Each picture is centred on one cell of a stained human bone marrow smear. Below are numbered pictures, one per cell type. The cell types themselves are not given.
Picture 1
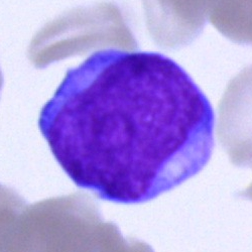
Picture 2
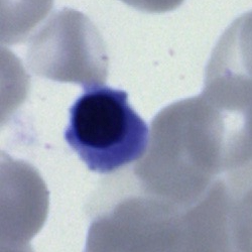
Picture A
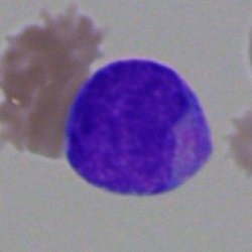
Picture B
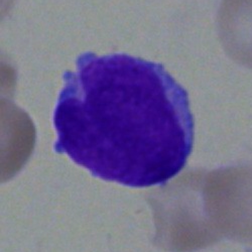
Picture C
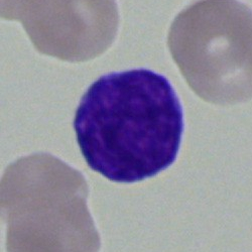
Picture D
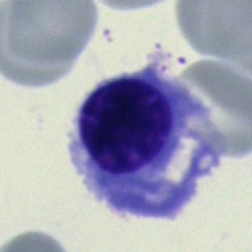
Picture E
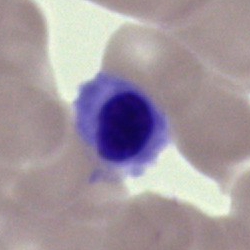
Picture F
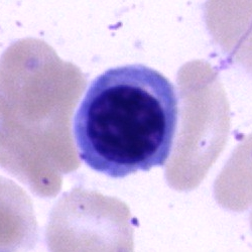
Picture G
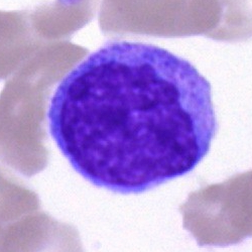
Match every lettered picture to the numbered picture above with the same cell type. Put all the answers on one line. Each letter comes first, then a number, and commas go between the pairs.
A 1, B 1, C 1, D 2, E 2, F 2, G 1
